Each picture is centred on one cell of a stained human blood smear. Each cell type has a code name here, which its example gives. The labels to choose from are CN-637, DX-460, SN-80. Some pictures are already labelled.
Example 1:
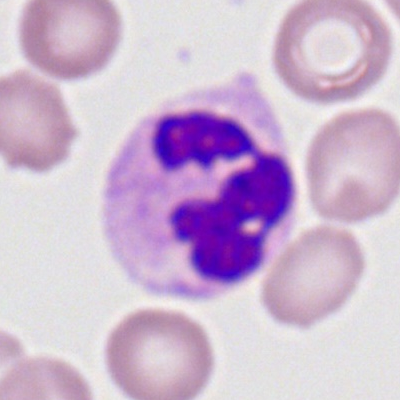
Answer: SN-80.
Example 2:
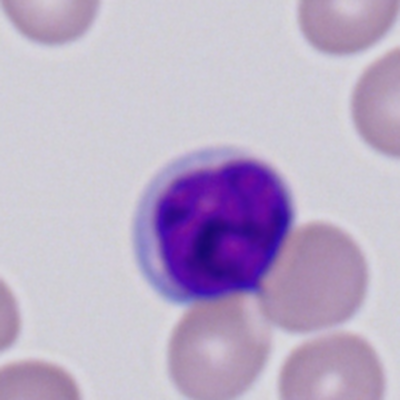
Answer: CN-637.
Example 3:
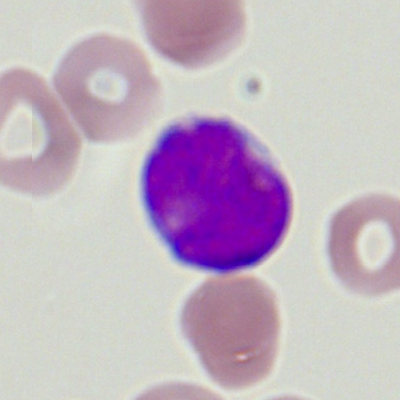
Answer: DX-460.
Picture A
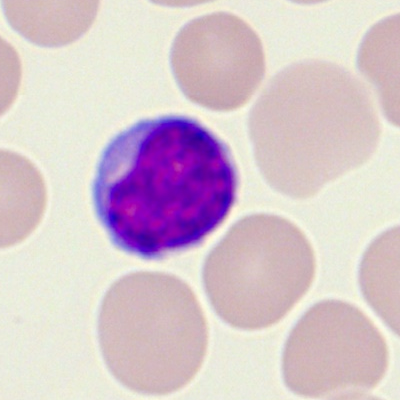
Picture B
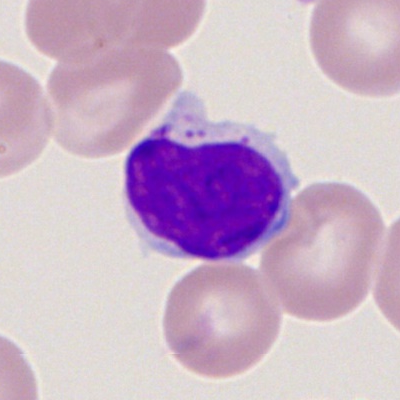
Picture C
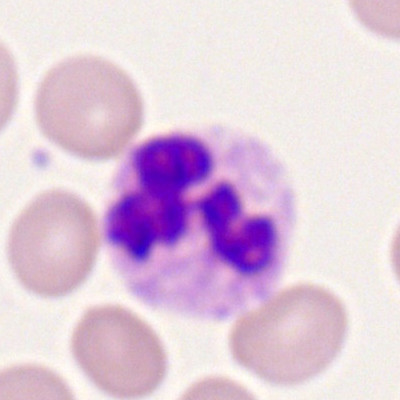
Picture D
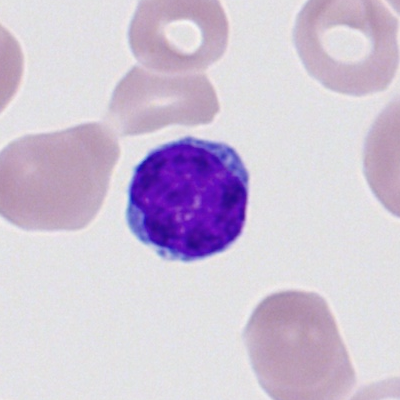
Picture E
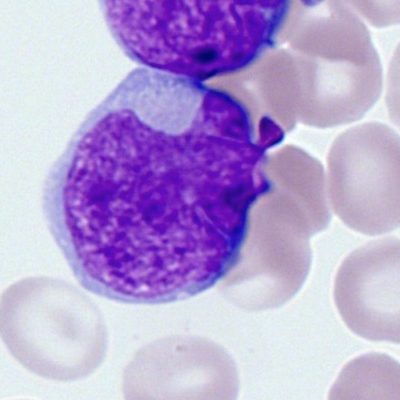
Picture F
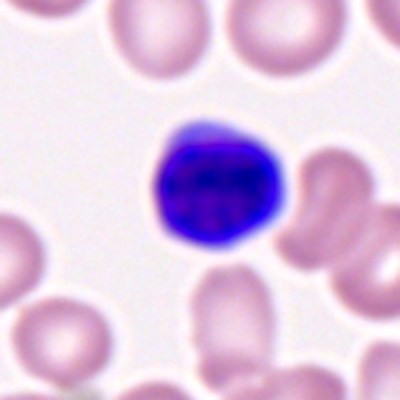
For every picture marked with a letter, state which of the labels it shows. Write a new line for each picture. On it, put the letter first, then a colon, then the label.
A: CN-637.
B: CN-637.
C: SN-80.
D: CN-637.
E: DX-460.
F: CN-637.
